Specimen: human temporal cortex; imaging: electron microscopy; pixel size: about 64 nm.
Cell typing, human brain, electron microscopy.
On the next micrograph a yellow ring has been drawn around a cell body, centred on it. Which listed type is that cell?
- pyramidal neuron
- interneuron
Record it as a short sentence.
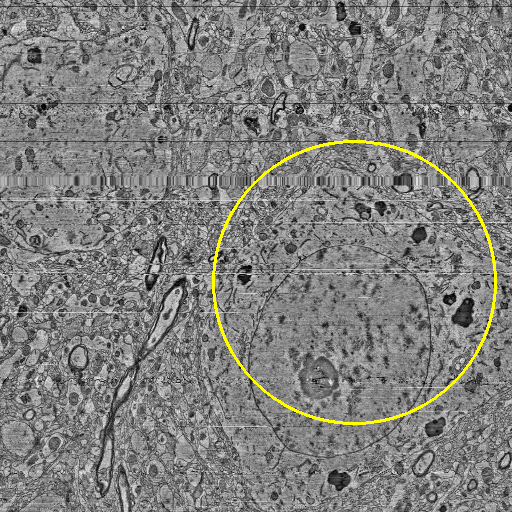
The cell body in the ring's centre belongs to a pyramidal neuron.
